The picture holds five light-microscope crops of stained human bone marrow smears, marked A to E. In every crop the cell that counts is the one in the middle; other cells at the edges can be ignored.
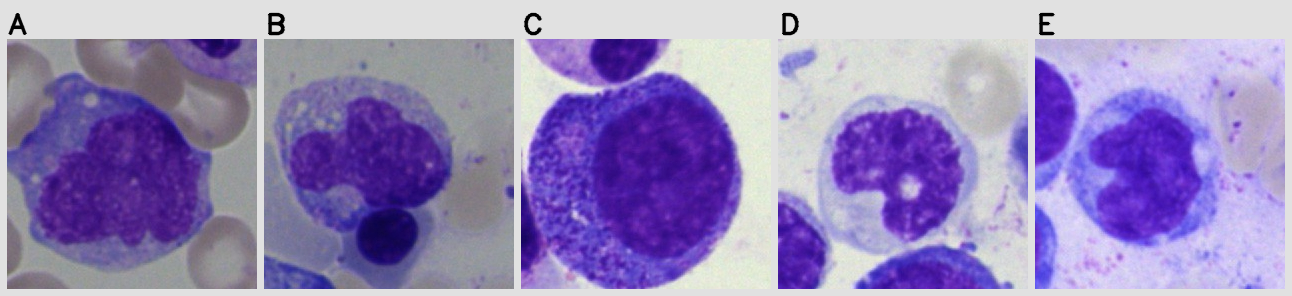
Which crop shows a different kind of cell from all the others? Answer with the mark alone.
C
